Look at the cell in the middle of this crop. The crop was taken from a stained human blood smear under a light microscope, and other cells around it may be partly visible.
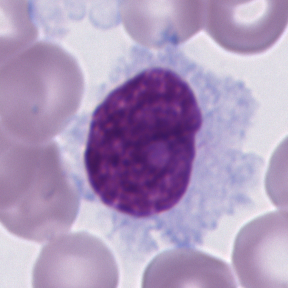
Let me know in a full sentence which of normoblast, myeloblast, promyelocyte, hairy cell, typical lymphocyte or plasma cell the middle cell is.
The single cell at the center of the crop is a hairy cell.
